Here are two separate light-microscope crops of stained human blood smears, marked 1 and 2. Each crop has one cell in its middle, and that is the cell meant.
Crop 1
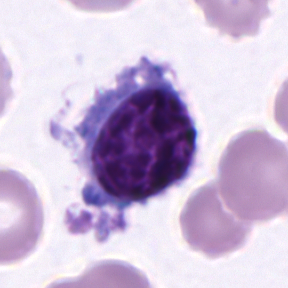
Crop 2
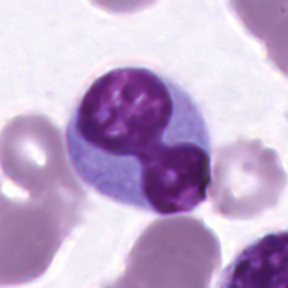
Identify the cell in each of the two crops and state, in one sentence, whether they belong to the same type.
Yes, it is plasma cells that sit at the centre of both crops.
